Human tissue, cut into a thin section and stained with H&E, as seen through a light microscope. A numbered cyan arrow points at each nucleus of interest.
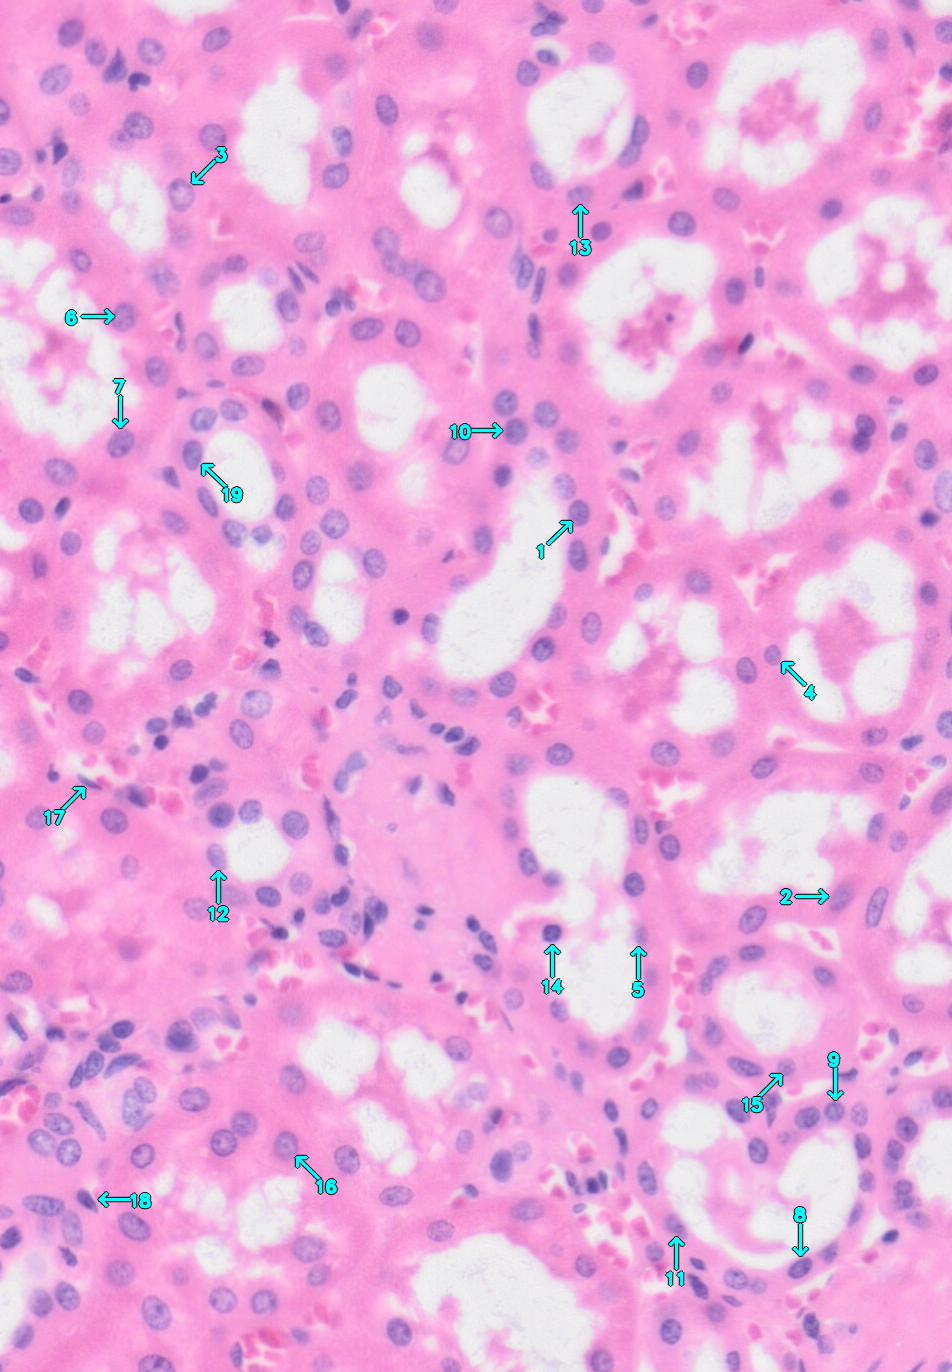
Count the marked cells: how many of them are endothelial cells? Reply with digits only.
2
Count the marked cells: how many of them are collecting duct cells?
6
